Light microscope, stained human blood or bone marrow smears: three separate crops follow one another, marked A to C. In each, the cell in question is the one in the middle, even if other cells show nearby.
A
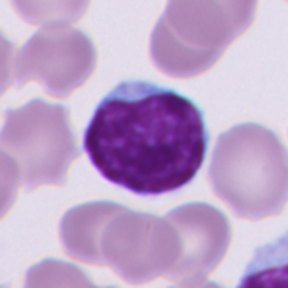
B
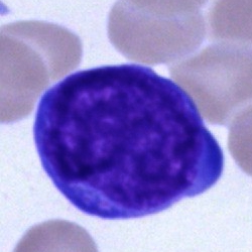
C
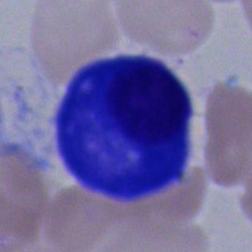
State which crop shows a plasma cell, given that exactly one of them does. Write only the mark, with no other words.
C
